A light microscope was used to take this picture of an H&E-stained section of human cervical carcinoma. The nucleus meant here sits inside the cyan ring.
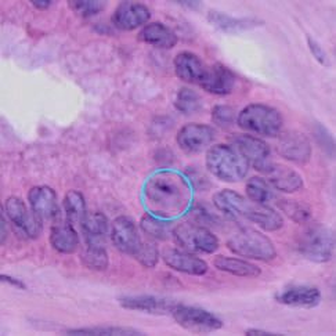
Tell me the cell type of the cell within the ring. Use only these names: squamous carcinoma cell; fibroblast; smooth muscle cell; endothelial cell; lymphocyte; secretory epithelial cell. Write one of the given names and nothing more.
secretory epithelial cell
